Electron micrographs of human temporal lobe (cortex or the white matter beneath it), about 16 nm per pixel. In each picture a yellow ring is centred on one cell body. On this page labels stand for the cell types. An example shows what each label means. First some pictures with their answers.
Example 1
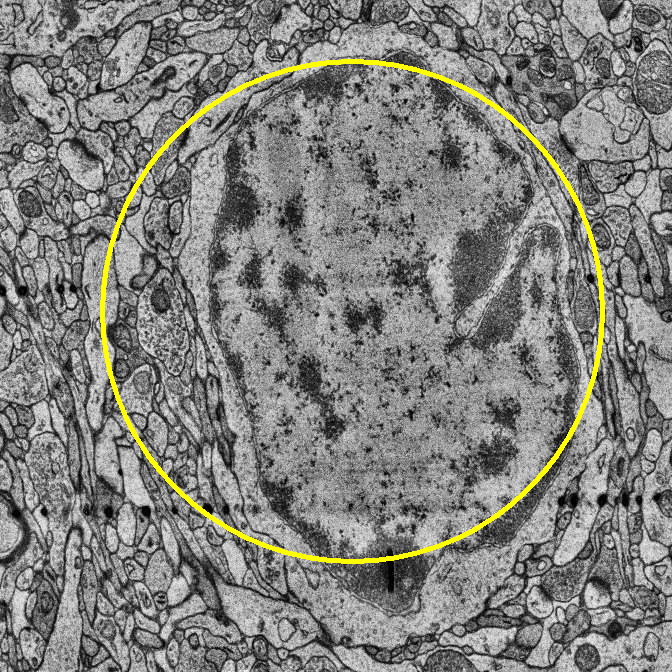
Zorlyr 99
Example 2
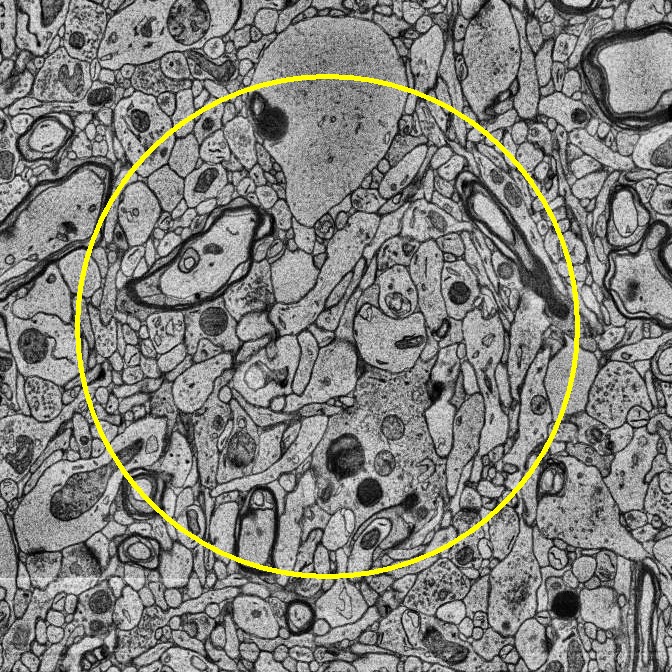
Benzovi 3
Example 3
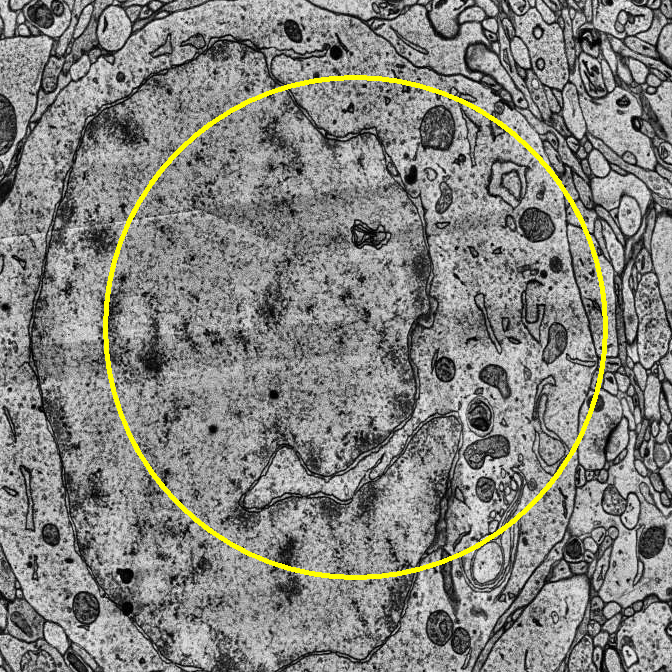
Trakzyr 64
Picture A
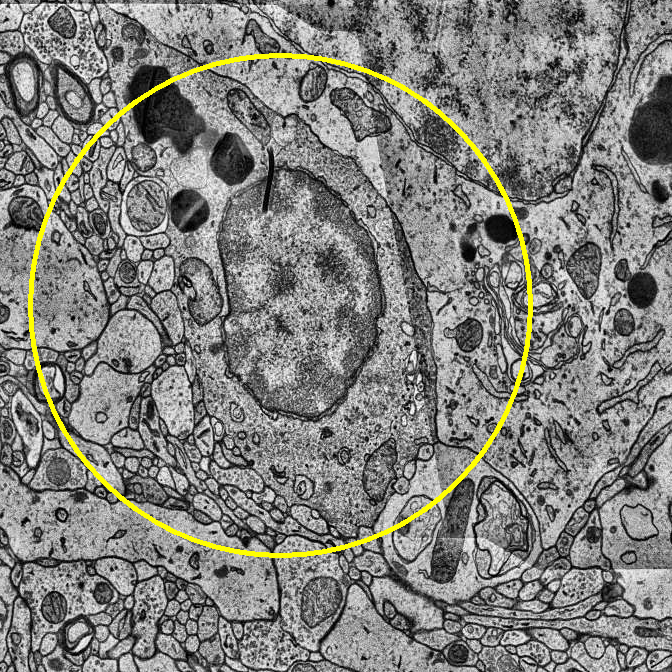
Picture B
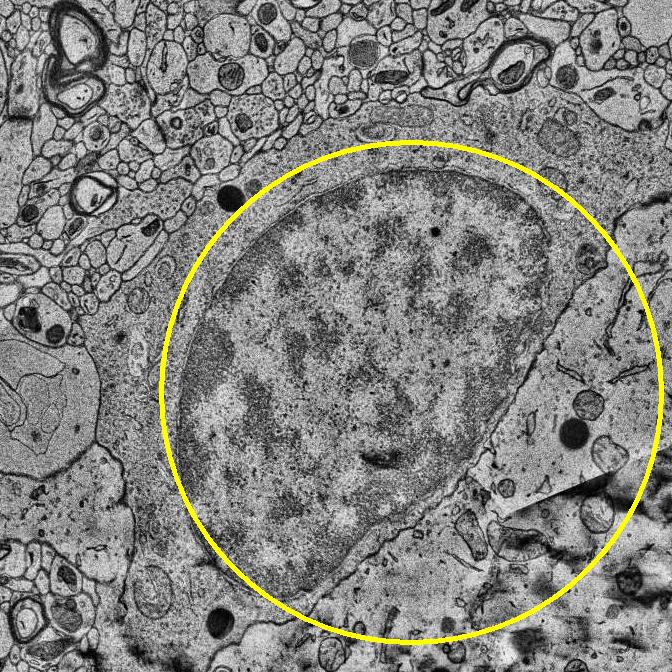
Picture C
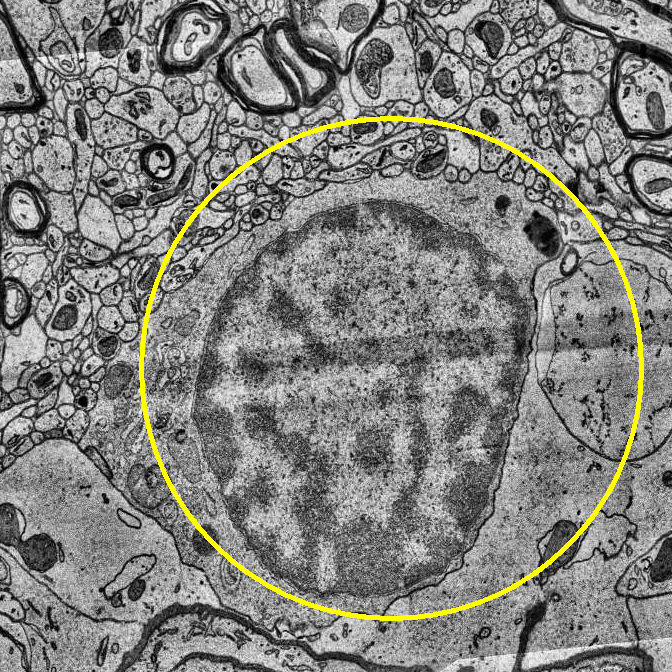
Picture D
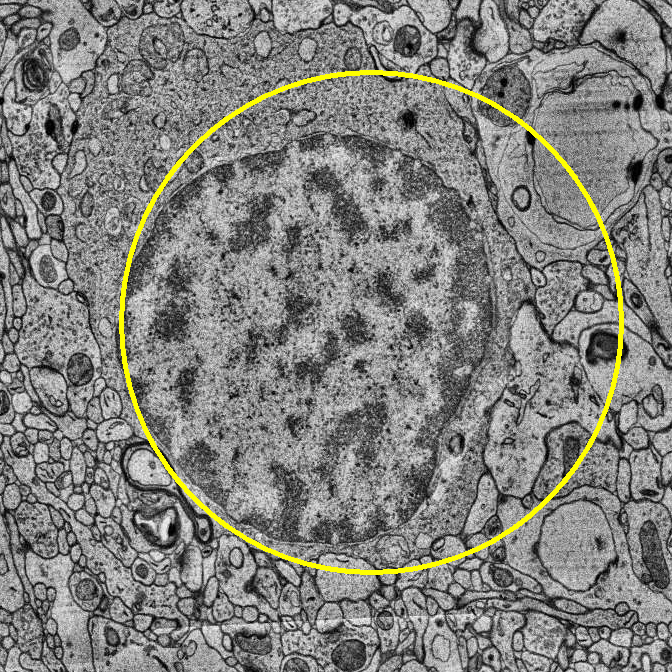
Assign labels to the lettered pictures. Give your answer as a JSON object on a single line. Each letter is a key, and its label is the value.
{"A": "Benzovi 3", "B": "Benzovi 3", "C": "Benzovi 3", "D": "Benzovi 3"}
